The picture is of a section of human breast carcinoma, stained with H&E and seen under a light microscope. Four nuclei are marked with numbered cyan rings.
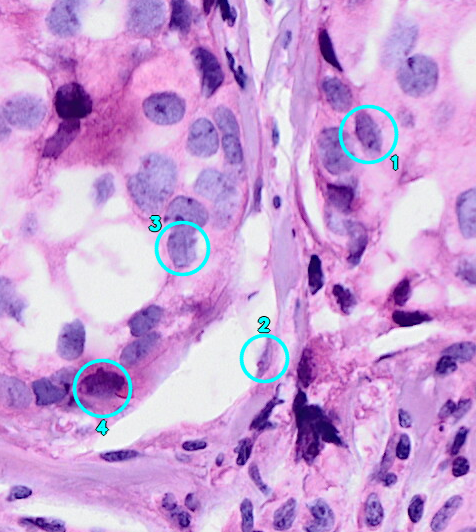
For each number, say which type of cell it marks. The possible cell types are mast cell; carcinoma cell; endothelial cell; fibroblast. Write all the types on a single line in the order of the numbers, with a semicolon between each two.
carcinoma cell; fibroblast; carcinoma cell; carcinoma cell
